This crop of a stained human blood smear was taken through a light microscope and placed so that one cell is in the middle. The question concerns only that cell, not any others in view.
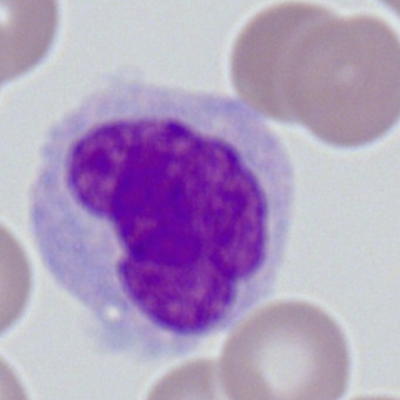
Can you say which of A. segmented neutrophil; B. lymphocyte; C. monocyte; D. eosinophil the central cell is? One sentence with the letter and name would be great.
Identification: the cell in the middle is a monocyte, matching option C.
